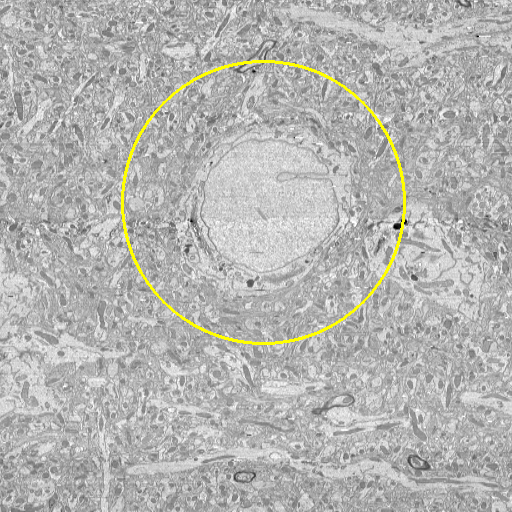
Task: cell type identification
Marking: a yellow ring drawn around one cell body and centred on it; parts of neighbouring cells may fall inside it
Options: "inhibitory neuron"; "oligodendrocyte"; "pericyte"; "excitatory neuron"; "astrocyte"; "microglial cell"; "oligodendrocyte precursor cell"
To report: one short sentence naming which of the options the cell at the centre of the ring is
The cell at the centre of the ring is an inhibitory neuron.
